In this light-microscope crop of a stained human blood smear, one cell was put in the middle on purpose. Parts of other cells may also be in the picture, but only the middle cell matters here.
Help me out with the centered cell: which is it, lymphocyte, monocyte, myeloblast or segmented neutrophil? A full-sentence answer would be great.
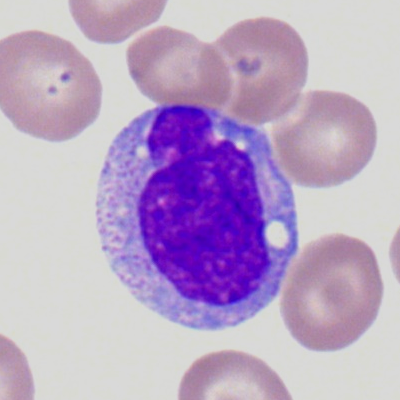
Present in the middle of the crop is a monocyte.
